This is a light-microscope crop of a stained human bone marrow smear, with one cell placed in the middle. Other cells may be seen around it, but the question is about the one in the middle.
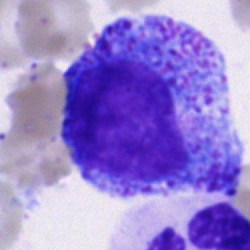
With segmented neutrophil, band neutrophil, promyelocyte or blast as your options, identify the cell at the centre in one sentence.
The crop's centre is taken up by a promyelocyte.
